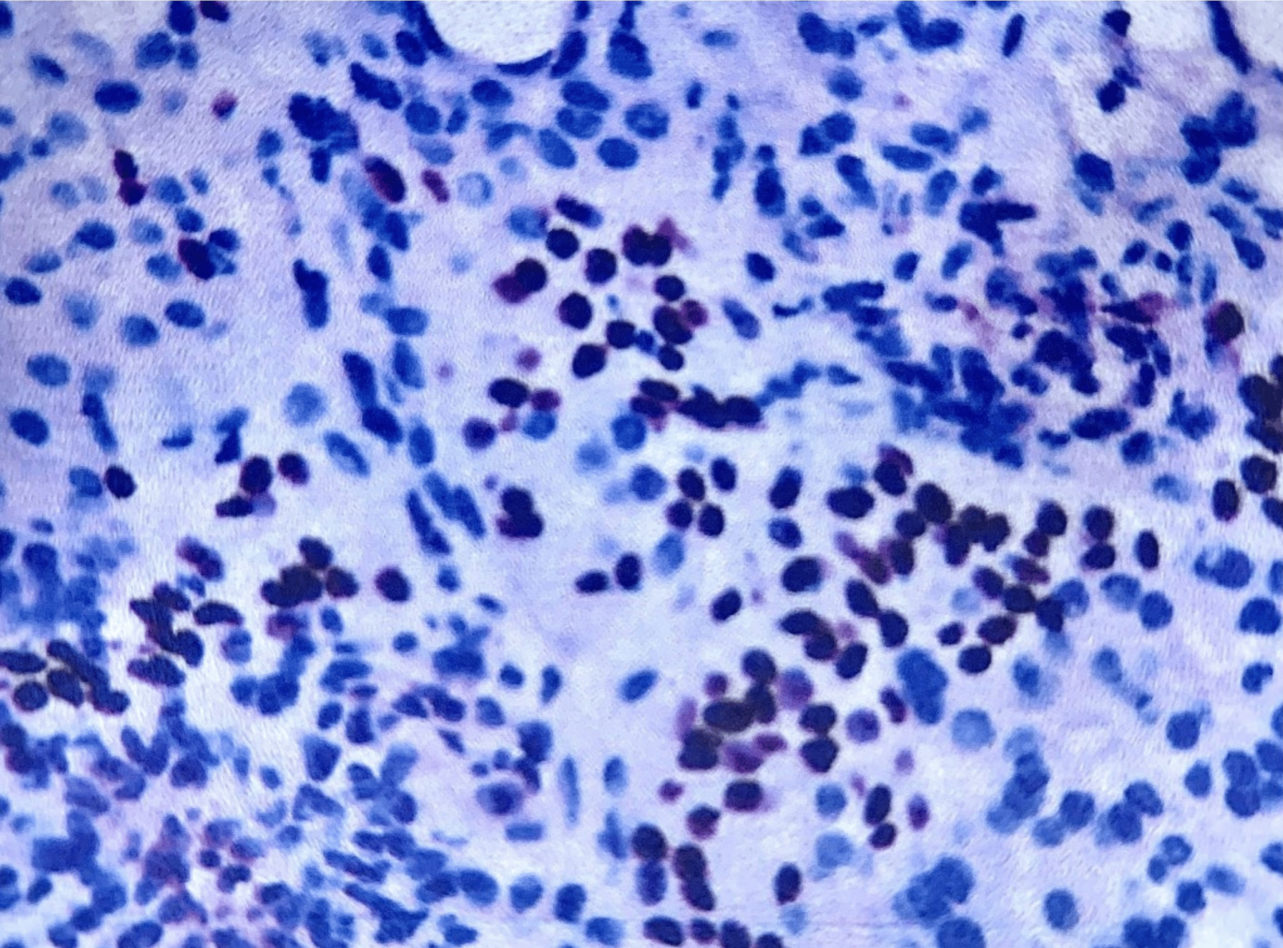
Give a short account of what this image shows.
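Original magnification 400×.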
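Scattered among them are tight clusters and small nests of round, densely dark purple nuclei. The stain lies in the nuclei, not in the cytoplasm or stroma.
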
